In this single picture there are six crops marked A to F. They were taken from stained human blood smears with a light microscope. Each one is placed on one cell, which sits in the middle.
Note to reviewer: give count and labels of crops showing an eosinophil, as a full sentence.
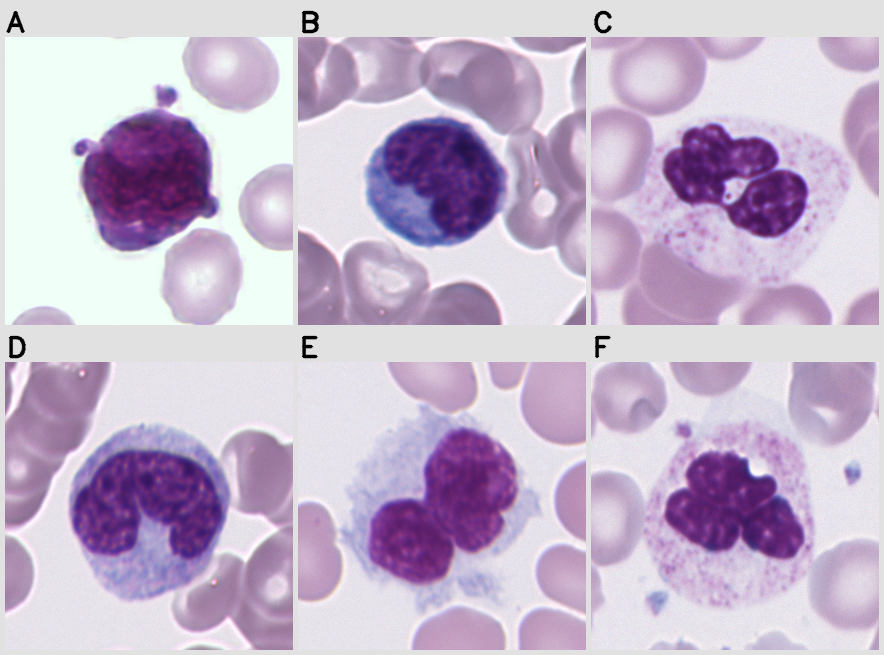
Since none of the crops shows eosinophils, the count has to be zero.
